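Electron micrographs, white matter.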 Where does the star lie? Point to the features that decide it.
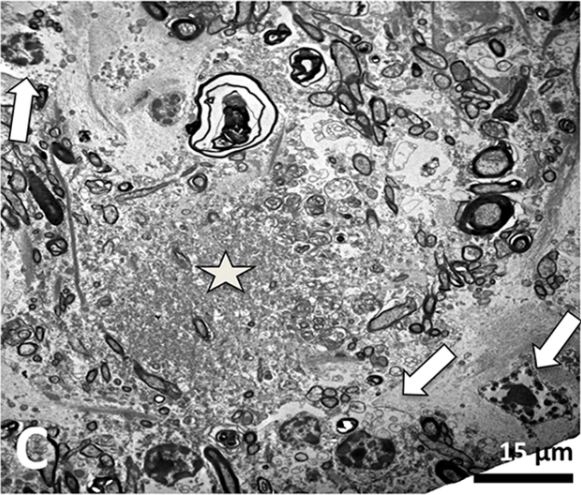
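The star lies in a granular mass of small vesicular profiles. Myelinated fibres and cell bodies surround this mass. On this evidence: centre of the lesion.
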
